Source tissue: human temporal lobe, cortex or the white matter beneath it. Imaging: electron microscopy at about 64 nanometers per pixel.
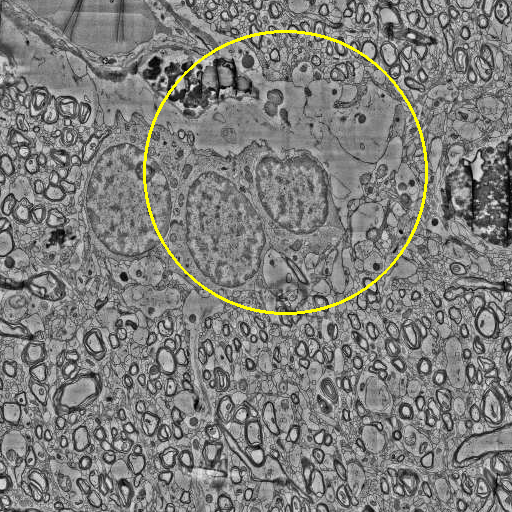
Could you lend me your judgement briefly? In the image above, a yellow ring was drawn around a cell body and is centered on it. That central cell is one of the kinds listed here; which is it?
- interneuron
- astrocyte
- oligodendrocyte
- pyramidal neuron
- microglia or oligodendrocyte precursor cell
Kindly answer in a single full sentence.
Going by the list, an oligodendrocyte is the kind at the ring's center in the picture.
